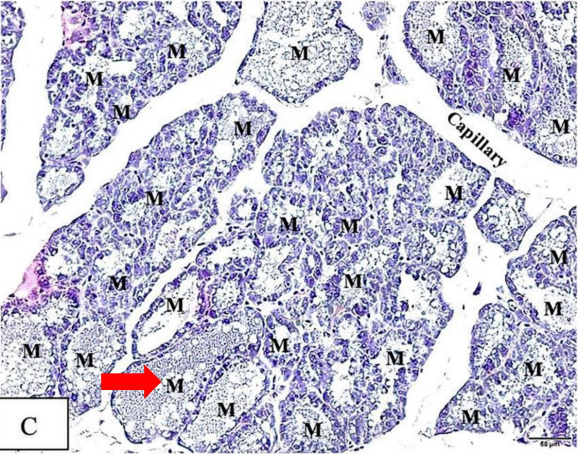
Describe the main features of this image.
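Here the mammary gland is packed with closely set alveoli whose lining epithelial cells stain pale purple. Many lumens are filled with pale, frothy, granular milk, and the lobules are divided by clear spaces and thin connective tissue septa.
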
